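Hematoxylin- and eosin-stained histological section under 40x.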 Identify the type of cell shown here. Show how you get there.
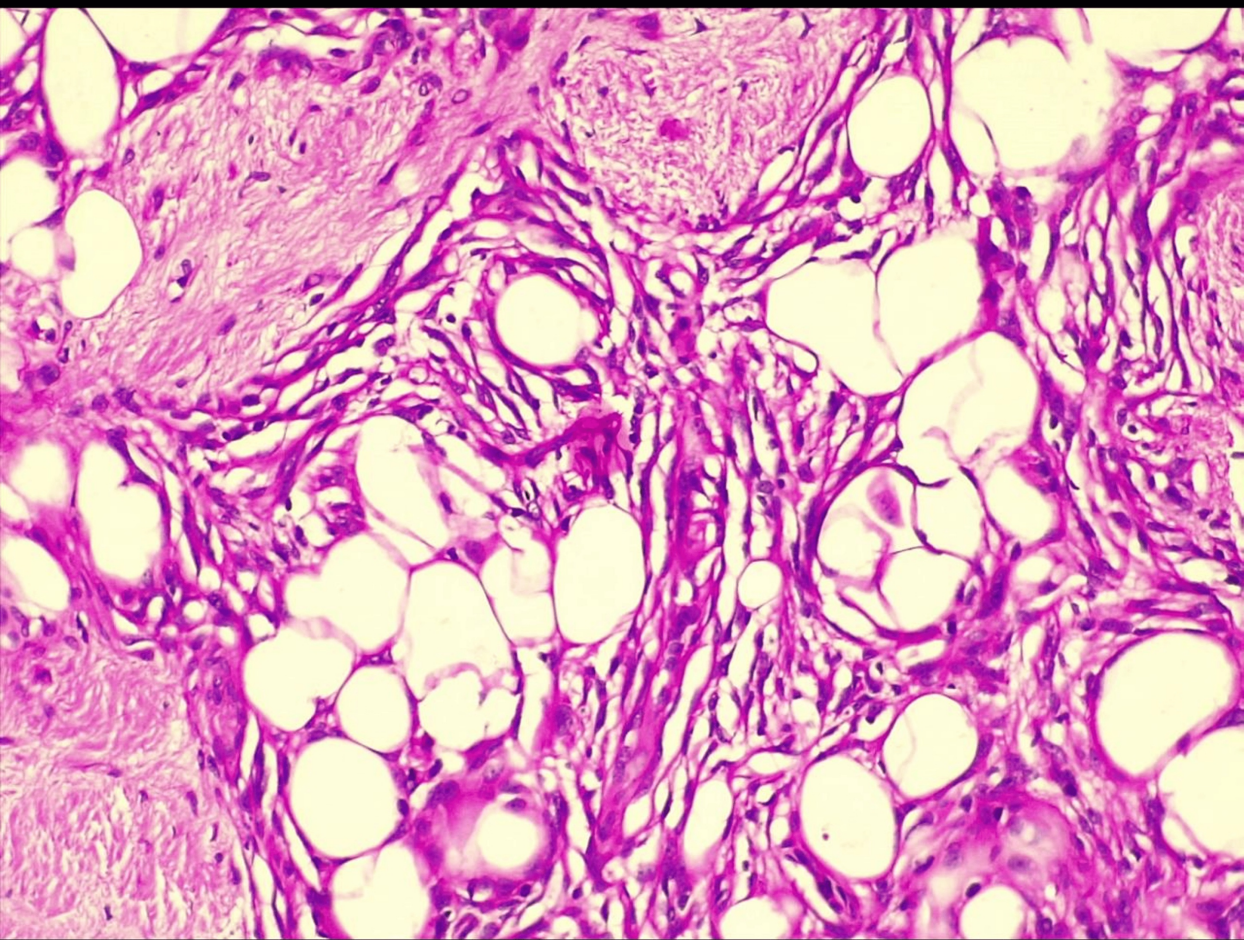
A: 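Many large round to polygonal clear empty vacuoles of varying size. Each vacuole is rimmed by a thin pink membrane-like border. The vacuoles lie singly and in clusters among the spindle cells.
Conclusion: adipocytes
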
